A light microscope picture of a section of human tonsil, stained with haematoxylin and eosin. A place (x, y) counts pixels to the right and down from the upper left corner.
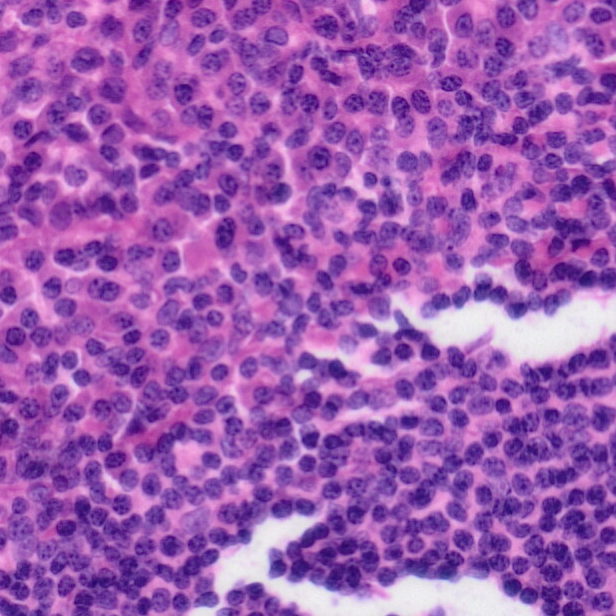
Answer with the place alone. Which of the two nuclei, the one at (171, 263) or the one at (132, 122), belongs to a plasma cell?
(171, 263)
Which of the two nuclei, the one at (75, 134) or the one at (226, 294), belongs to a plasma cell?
(226, 294)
